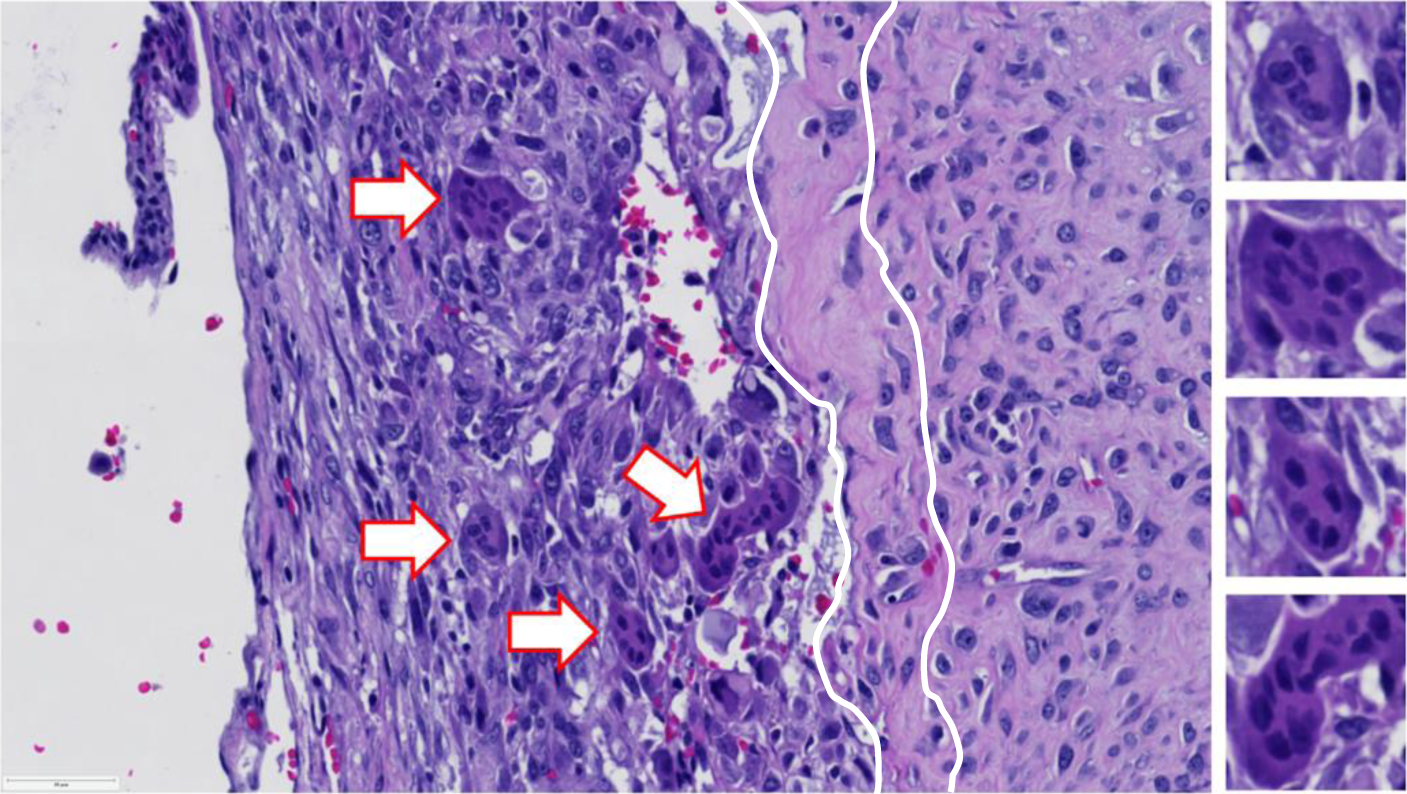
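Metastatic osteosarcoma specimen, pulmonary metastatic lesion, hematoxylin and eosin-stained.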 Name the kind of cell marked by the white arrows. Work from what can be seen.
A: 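Multinucleated giant cells. The arrows point to large cells each holding several nuclei. The enlarged images at right show clusters of multiple nuclei within one cell body.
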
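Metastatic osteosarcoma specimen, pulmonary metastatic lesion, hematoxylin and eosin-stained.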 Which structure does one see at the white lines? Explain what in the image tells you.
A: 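Circumscribing collagen deposition. The band separates a cellular region on the left from tumor on the right.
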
